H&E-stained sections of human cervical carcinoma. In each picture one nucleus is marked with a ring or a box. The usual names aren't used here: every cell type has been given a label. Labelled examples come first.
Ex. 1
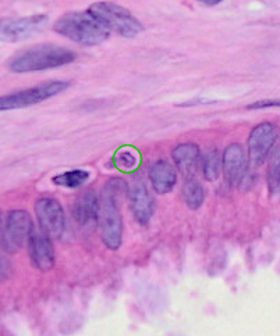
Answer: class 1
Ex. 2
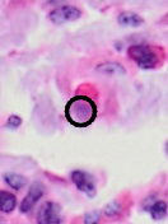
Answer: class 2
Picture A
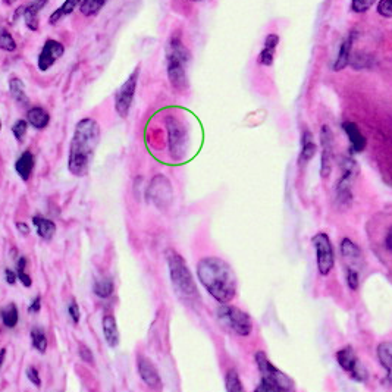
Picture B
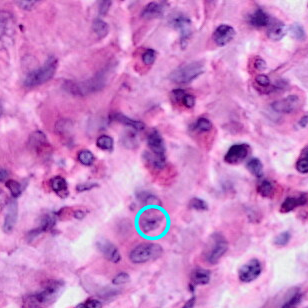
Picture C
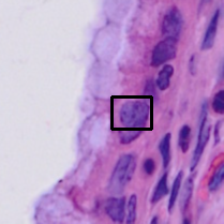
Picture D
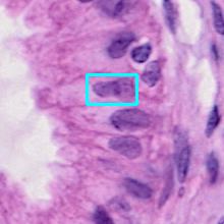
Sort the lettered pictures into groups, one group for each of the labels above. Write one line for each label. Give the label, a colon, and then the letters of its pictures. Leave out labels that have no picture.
class 1: C, D
class 2: A, B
